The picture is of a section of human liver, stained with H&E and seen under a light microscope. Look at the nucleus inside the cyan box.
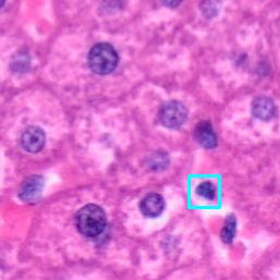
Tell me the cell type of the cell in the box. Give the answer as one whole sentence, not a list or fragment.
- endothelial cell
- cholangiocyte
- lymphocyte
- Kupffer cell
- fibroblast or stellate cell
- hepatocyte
Microscopically, the cell in the box is categorized as a lymphocyte.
